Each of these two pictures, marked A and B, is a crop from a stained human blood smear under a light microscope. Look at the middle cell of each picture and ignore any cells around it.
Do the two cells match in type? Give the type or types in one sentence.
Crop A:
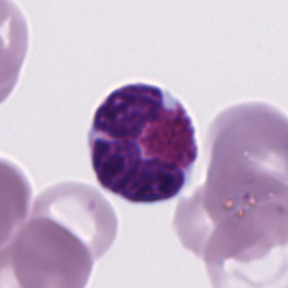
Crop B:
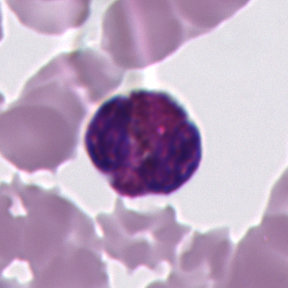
Yes, the central cells in both of the crops are eosinophils.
